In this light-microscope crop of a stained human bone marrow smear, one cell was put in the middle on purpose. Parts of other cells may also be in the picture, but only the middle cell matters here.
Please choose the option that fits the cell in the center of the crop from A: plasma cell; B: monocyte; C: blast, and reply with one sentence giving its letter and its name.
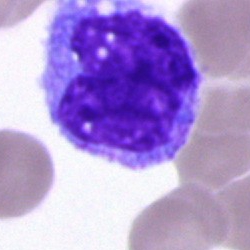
The cell in the middle is a monocyte, and so option B is correct.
